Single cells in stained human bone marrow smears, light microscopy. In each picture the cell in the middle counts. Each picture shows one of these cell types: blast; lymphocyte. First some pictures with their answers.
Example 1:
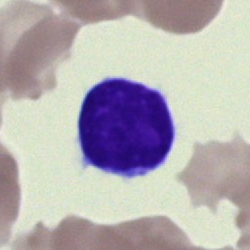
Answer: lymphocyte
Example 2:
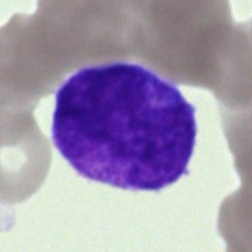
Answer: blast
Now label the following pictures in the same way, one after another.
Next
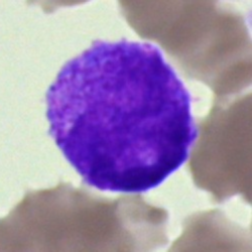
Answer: blast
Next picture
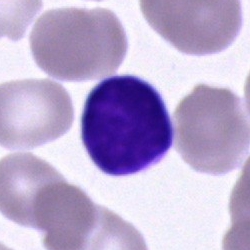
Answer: lymphocyte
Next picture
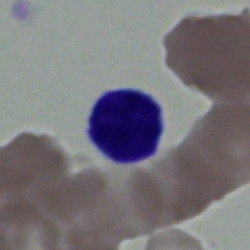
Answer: lymphocyte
